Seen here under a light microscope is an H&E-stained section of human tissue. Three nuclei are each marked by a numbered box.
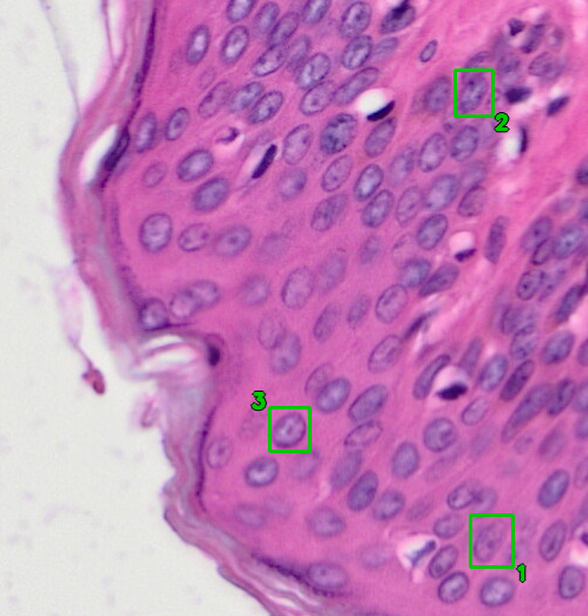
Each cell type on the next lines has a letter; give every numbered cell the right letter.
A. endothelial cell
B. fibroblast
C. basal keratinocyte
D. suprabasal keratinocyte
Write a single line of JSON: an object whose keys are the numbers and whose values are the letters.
{"1": "D", "2": "C", "3": "D"}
